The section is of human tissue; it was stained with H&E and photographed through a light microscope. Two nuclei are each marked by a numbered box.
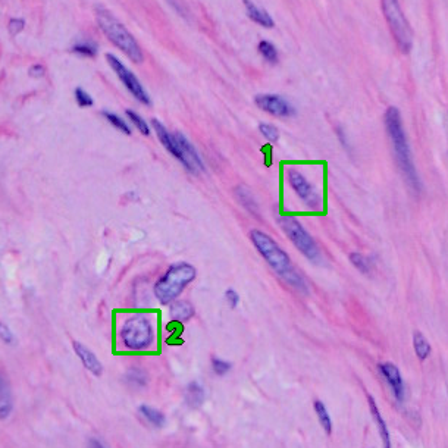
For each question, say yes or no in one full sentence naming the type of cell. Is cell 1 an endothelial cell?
No, rather than an endothelial cell, cell number 1 is a smooth muscle cell.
